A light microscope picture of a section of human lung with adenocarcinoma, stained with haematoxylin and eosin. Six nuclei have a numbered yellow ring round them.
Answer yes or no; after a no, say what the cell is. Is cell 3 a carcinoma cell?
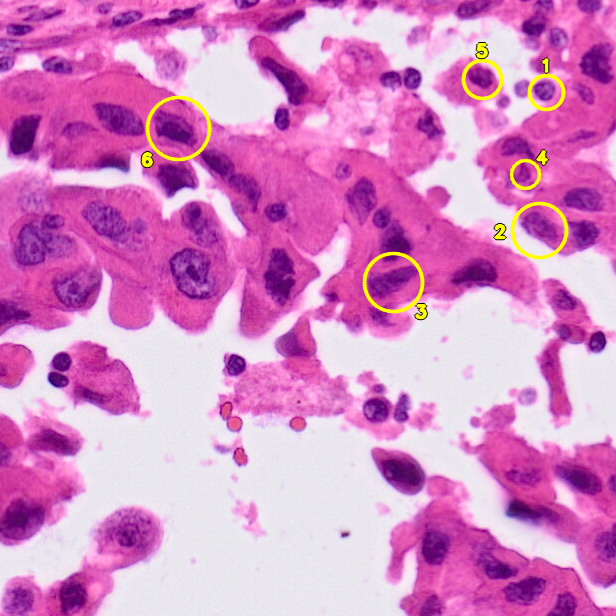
Yes.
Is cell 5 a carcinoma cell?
No, it is a macrophage or monocyte.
